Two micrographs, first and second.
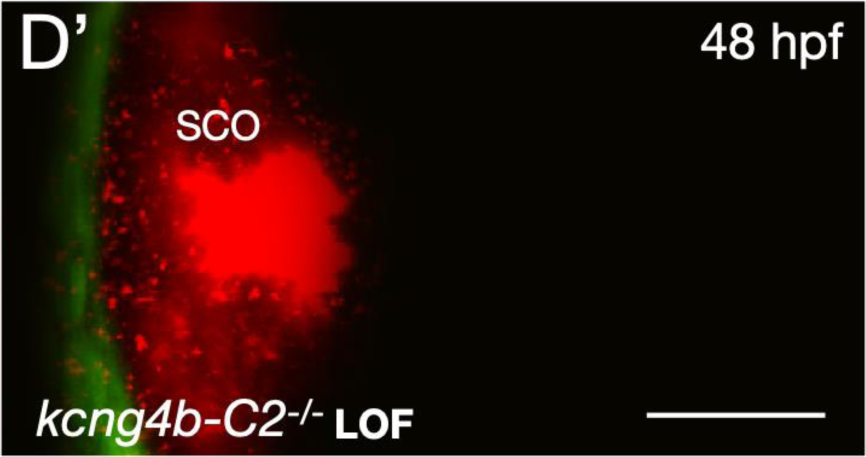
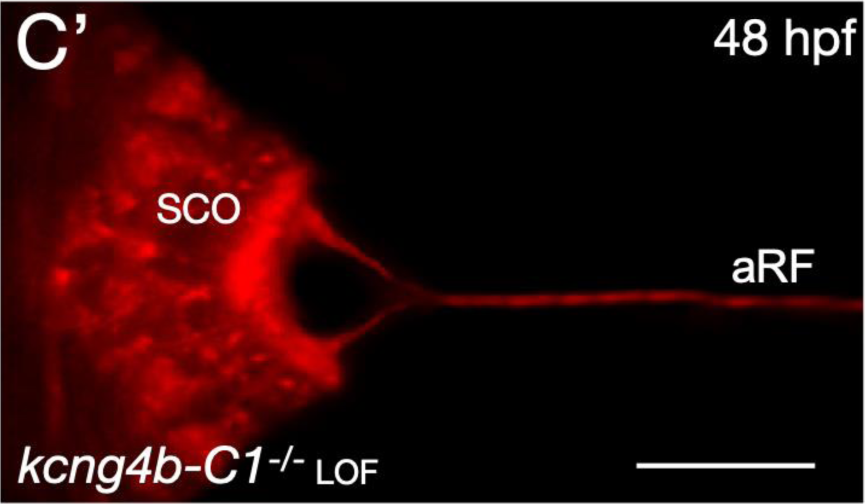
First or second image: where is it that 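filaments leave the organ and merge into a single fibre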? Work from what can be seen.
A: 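First image: a compact red mass with scattered red dots and no fibre leaving it. Second image: two thin red filaments leave the organ and join into one fibre running to the right.
Conclusion: the second image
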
